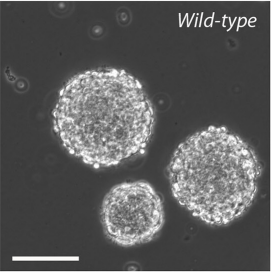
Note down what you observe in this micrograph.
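Three spheres of different sizes lie in the field, each round and sharply bounded. Each sphere is built of many small, tightly packed cells, giving the surface a bumpy, granular texture. The edges of the spheres glow bright, as phase contrast makes thick refractile objects do. Around them the dark background holds only a few small scattered particles and isolated cells.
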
